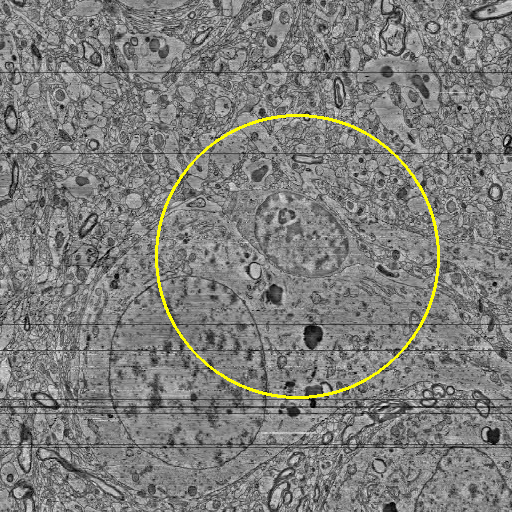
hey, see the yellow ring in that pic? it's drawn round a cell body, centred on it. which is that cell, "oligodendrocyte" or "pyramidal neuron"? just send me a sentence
The cell in the ring is an oligodendrocyte.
